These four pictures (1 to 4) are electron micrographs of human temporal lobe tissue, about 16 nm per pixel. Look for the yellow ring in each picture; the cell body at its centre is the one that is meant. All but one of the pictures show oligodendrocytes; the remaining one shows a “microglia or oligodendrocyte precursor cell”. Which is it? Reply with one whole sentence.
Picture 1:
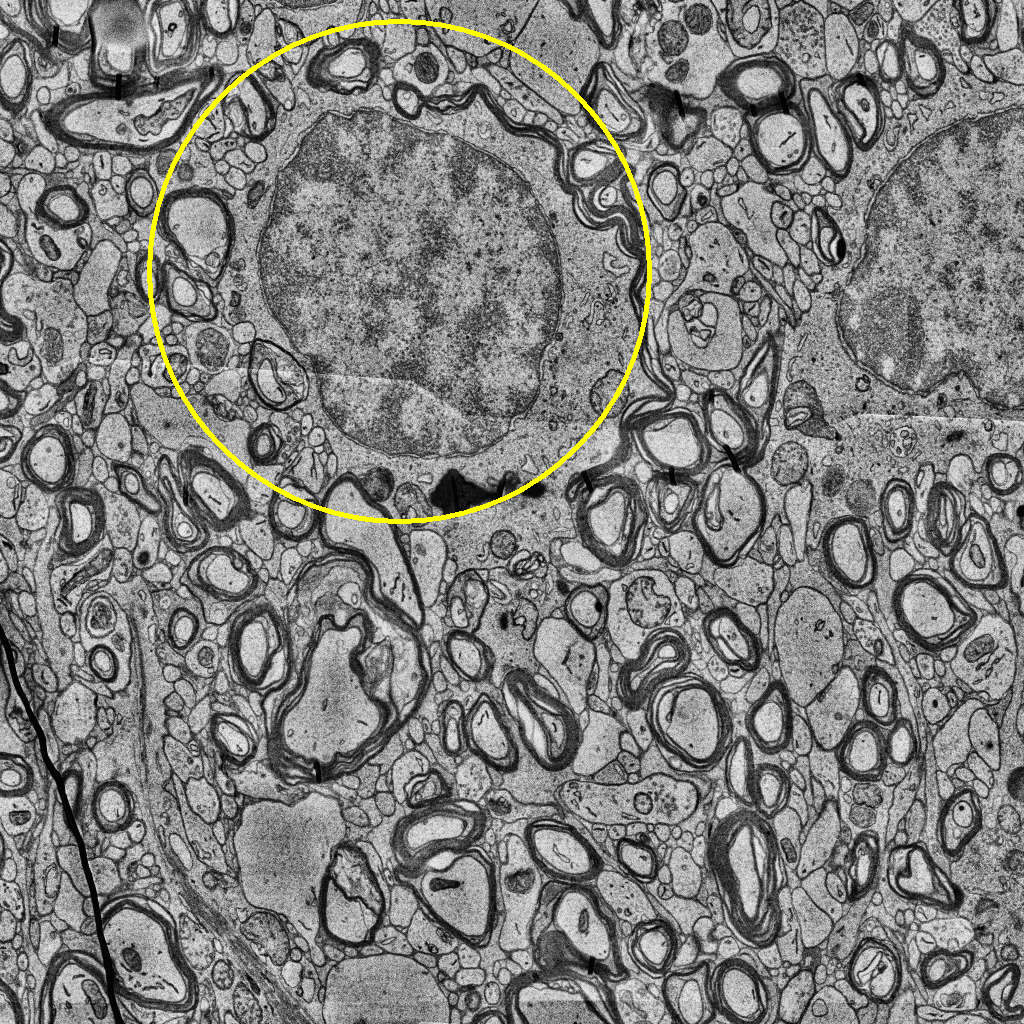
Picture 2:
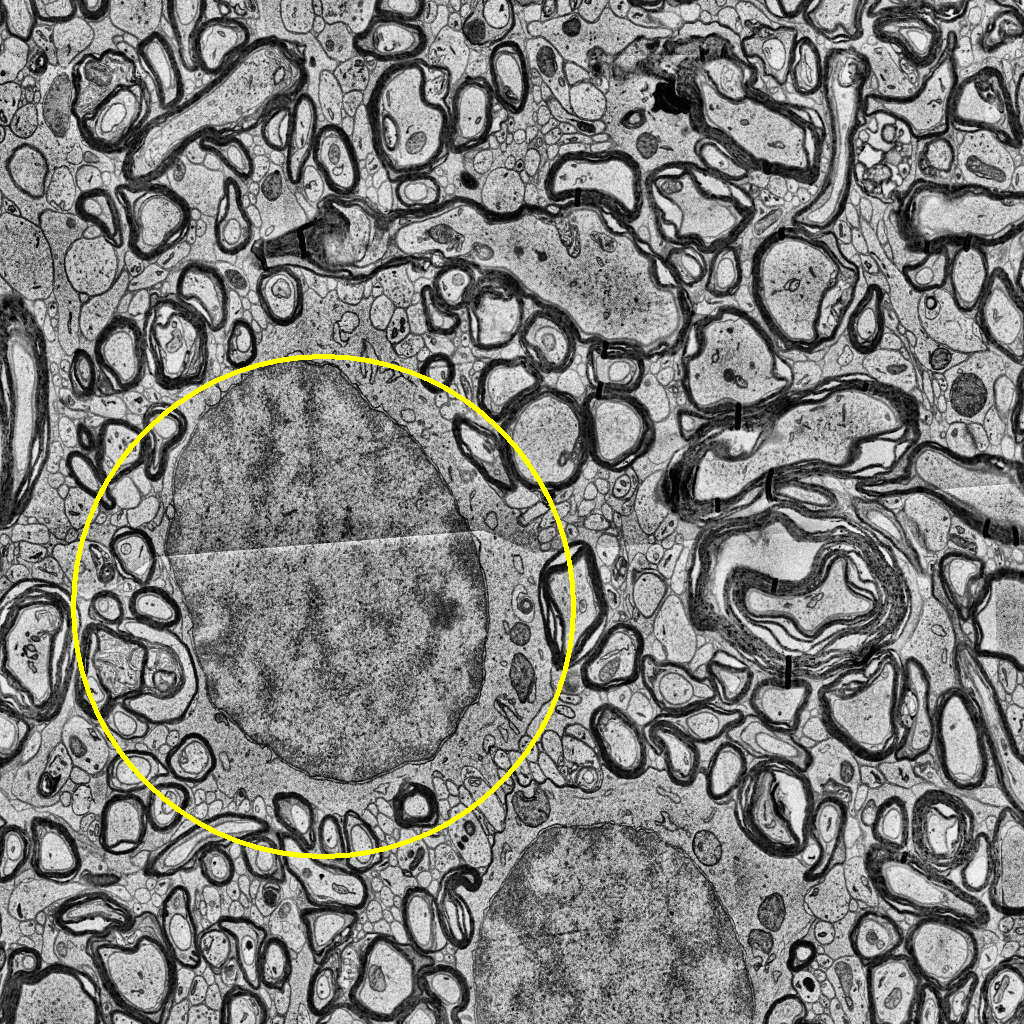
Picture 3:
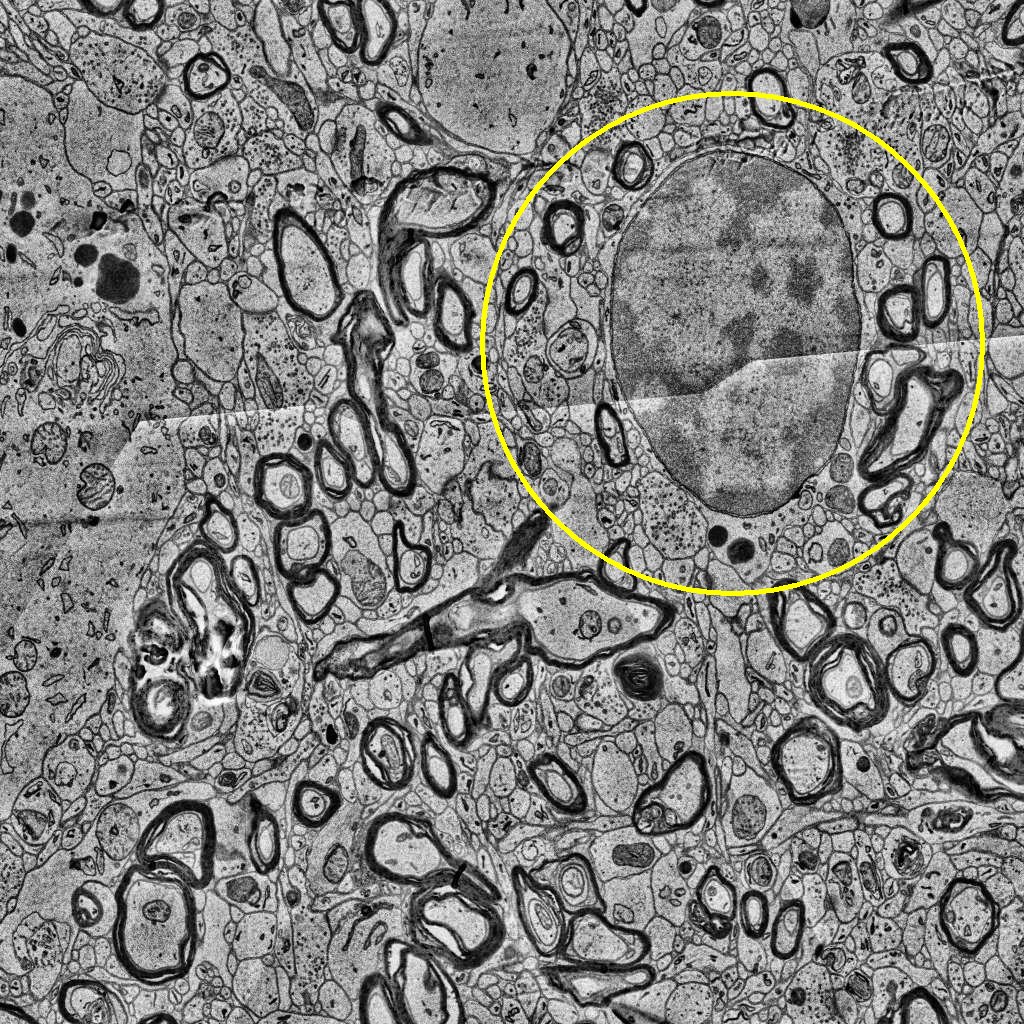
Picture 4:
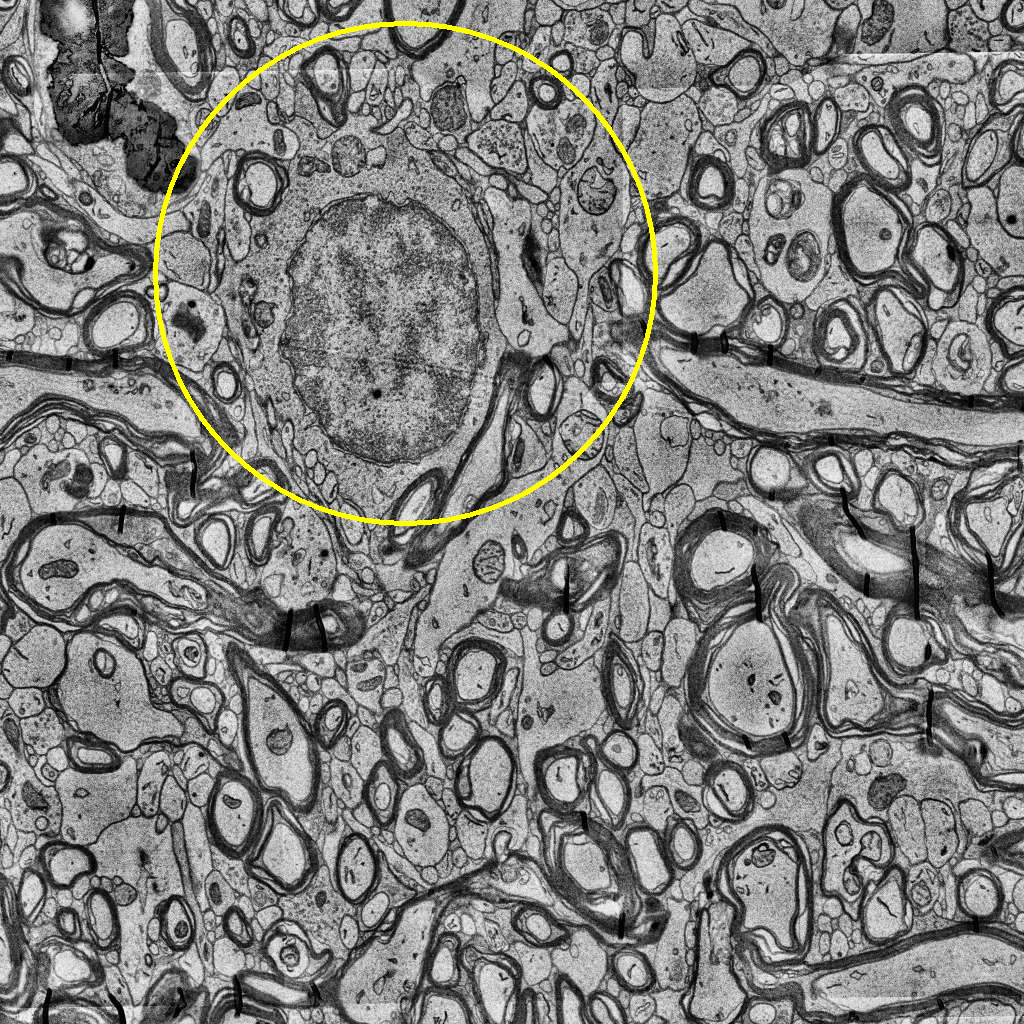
The picture with the “microglia or oligodendrocyte precursor cell” is 3.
